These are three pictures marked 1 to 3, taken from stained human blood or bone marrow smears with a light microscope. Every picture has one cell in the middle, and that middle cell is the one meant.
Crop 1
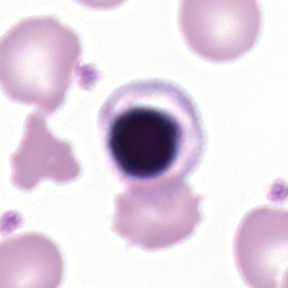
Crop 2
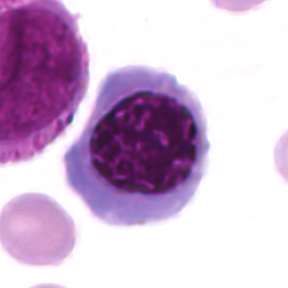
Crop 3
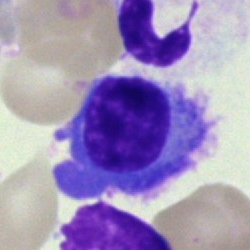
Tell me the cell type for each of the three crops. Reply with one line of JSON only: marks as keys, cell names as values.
{"1": "erythroblast", "2": "erythroblast", "3": "plasma cell"}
